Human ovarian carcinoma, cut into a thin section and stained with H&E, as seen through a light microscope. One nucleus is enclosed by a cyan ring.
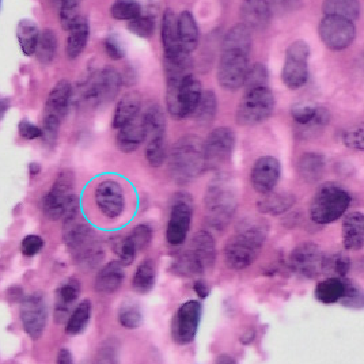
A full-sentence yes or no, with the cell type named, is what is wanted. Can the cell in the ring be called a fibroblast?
No, on this slide the cell in the ring is a macrophage or monocyte, not a fibroblast.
